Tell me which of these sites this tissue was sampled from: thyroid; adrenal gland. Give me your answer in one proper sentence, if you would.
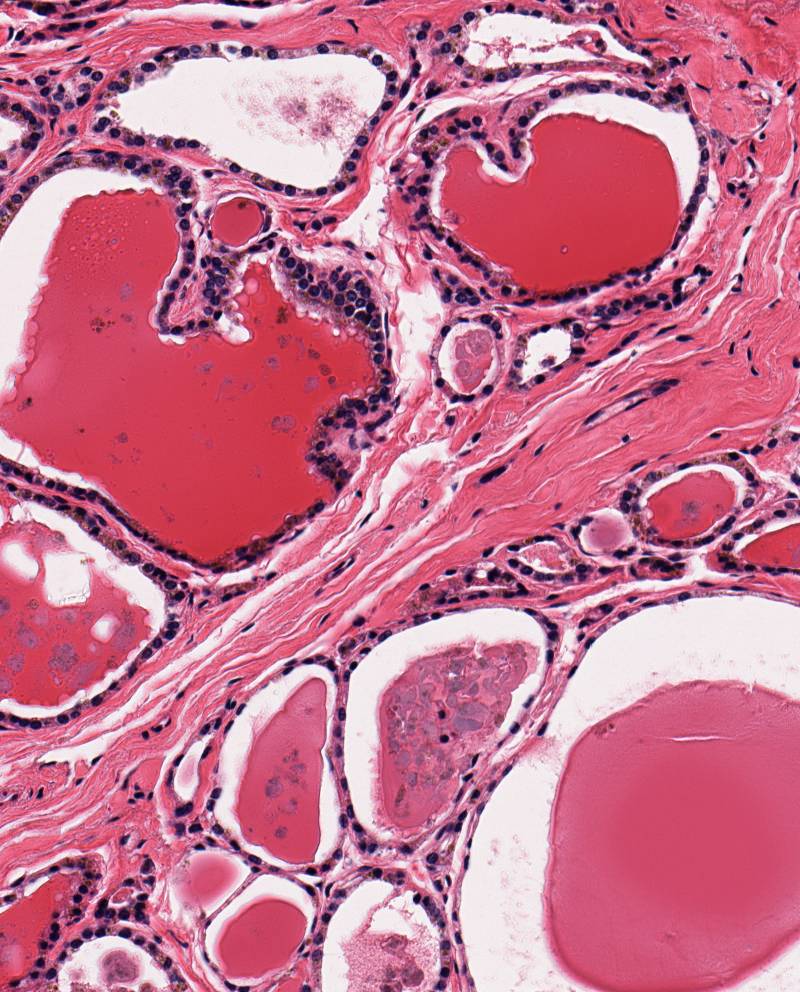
This tissue was harvested from the thyroid.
